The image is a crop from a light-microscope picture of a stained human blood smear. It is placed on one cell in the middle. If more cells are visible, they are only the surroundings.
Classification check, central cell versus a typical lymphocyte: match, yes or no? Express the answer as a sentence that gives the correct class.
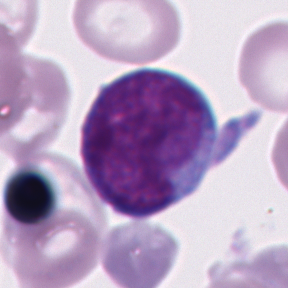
No, the cell in the middle is categorised as a myeloblast, not a typical lymphocyte.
